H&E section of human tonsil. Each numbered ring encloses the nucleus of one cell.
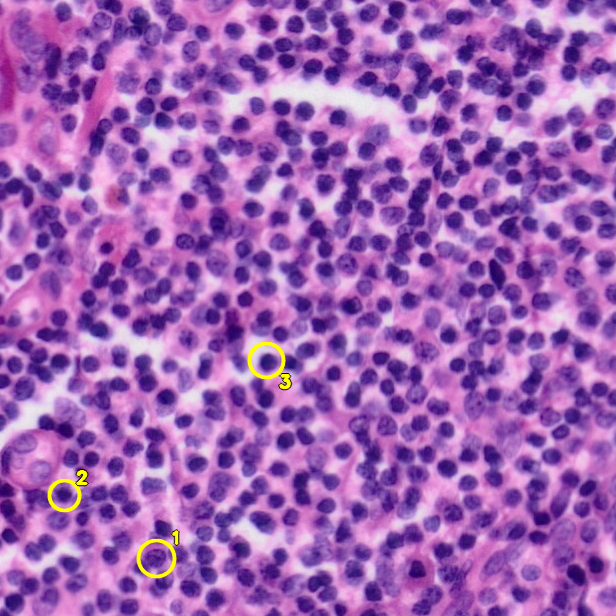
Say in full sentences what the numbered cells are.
Cell 1 is a plasma cell, cell 2 is a small lymphocyte and cell 3 is a small lymphocyte.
